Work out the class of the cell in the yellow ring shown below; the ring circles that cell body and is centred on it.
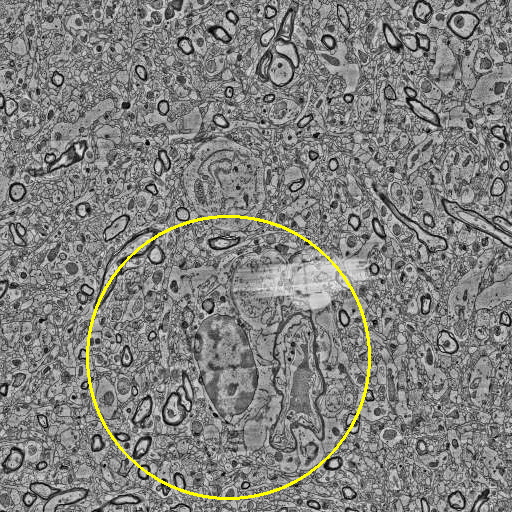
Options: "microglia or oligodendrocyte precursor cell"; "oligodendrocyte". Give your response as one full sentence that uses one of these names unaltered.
The body ringed in yellow, right at the ring's centre, is that of a microglial cell or oligodendrocyte precursor cell.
